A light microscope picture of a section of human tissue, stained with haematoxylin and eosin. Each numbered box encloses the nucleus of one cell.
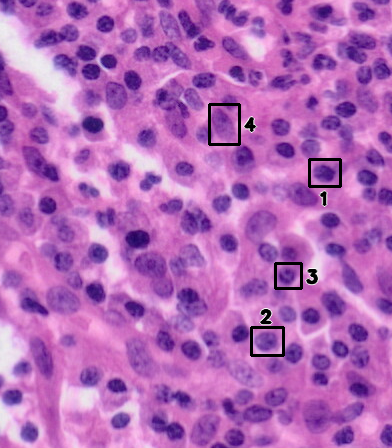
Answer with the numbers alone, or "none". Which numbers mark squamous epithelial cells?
4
